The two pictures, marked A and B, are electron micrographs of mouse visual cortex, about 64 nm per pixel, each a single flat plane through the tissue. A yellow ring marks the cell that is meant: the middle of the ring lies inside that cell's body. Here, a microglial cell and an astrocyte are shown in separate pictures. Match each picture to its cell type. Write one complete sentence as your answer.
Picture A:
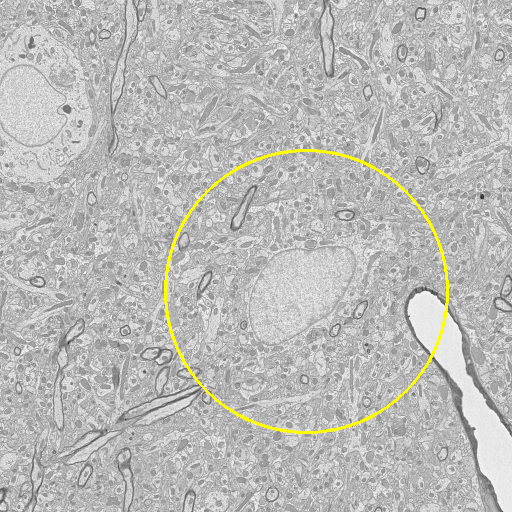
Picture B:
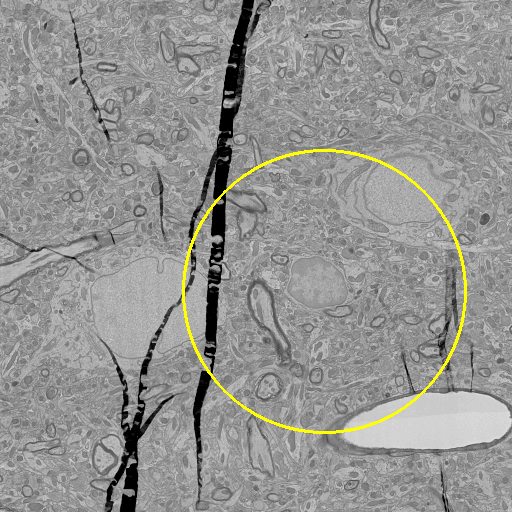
Picture A is of an astrocyte, and picture B is of a microglial cell.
